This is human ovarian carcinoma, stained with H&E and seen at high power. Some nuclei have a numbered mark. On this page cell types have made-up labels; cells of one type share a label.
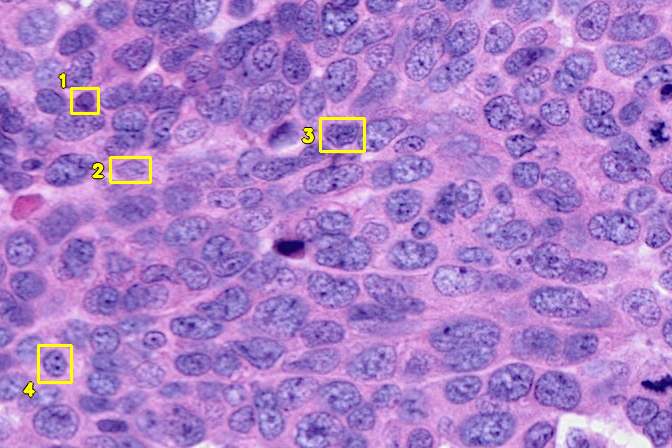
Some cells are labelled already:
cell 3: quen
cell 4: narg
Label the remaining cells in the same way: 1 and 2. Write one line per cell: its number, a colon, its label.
1: quen
2: quen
